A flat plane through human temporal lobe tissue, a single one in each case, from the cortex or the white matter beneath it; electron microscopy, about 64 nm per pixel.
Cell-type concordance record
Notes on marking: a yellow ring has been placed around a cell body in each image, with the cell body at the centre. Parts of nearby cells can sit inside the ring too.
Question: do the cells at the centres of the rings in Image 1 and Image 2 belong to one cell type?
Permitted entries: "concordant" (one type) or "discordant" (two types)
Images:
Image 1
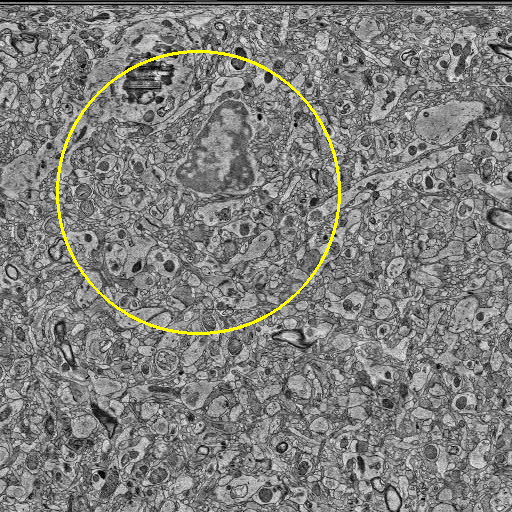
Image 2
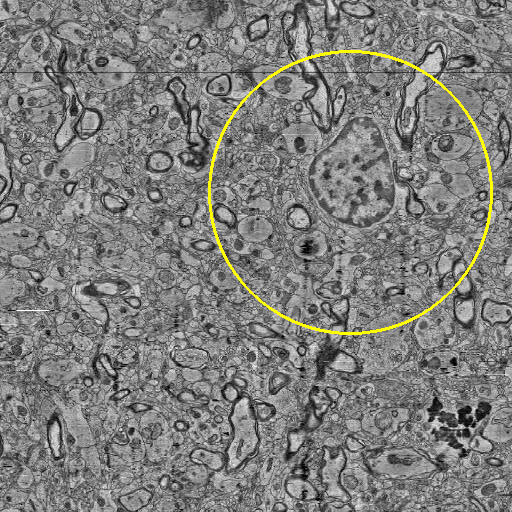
concordant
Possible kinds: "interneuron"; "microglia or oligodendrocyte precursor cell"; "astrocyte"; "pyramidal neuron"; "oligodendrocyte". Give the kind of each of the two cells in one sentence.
Each of the two rings is centred on a microglial cell or oligodendrocyte precursor cell.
